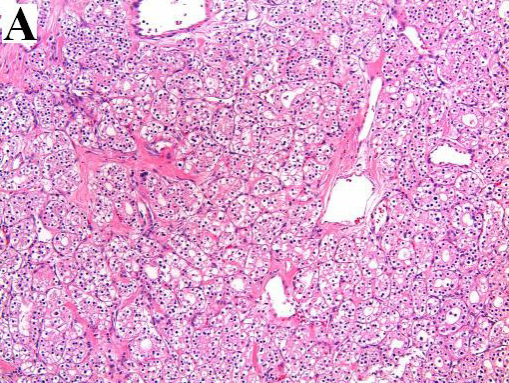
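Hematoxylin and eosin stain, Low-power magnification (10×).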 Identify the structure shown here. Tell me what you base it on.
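Pale cells are grouped in rounded nests and cords. Thin pink bands with few nuclei run between the groups. Some groups enclose small lumens.
Conclusion: irregular trabeculae and glandular structures, separated by hypocellular fibrous bands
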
